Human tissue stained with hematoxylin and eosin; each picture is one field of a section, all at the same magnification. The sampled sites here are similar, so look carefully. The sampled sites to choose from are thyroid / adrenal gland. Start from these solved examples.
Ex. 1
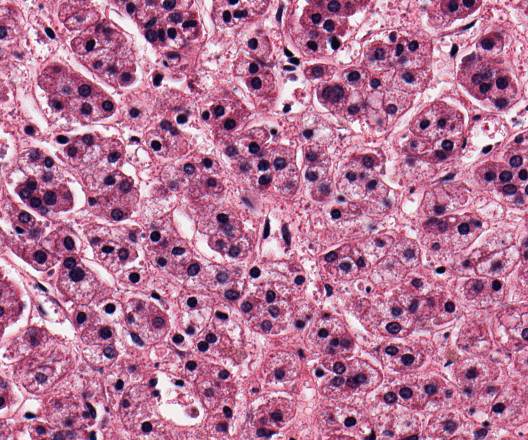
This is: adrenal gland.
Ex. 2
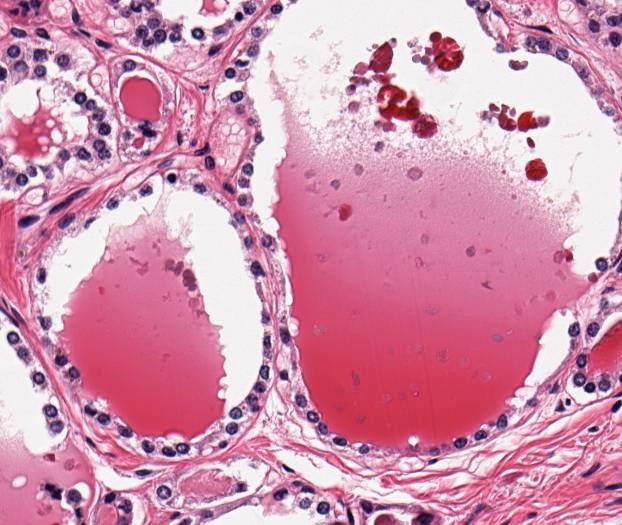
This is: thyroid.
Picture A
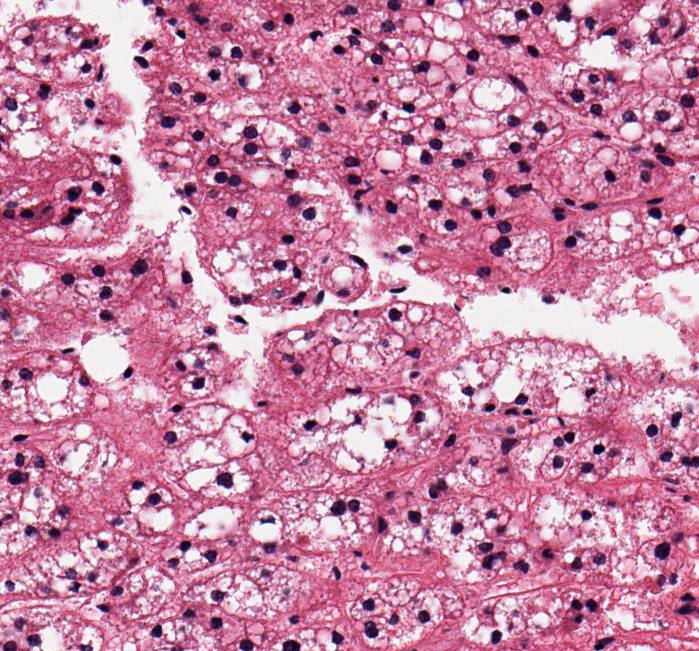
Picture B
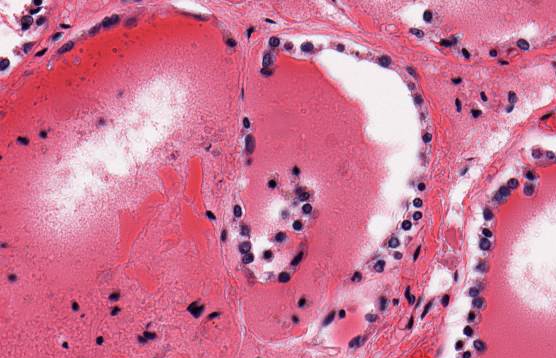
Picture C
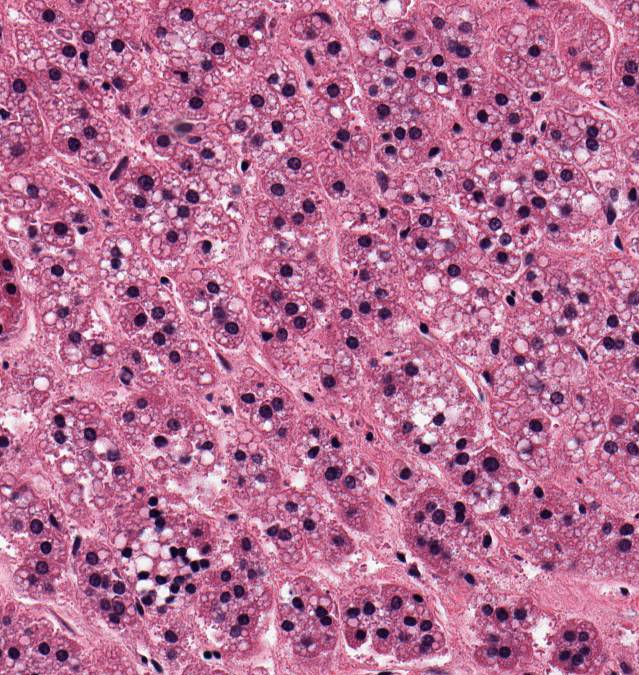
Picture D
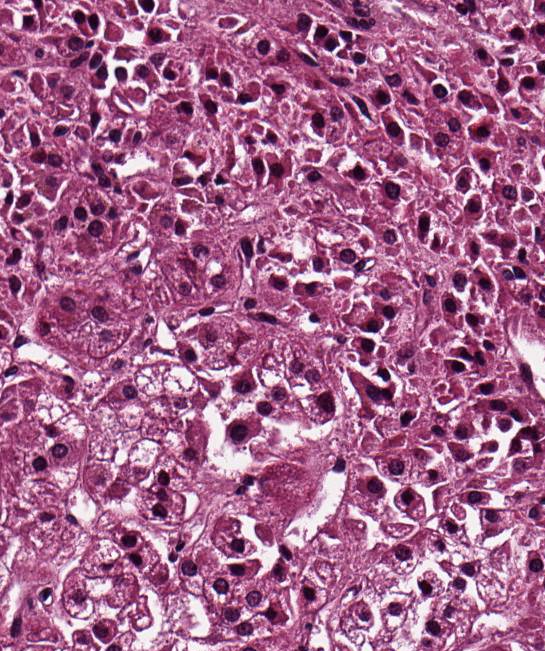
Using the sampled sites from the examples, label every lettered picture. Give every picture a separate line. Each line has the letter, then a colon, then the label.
A: adrenal gland.
B: thyroid.
C: adrenal gland.
D: adrenal gland.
